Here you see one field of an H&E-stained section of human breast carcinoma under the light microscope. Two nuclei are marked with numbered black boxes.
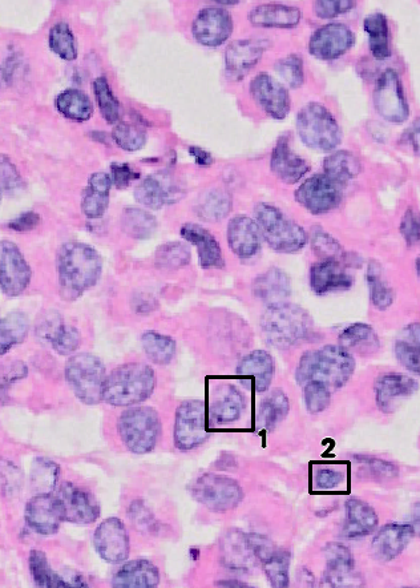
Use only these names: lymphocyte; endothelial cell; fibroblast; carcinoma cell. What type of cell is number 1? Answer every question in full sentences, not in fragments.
Numbered cell 1 is a carcinoma cell in this tissue section.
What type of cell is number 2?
Recognised here as an endothelial cell is the cell numbered 2.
